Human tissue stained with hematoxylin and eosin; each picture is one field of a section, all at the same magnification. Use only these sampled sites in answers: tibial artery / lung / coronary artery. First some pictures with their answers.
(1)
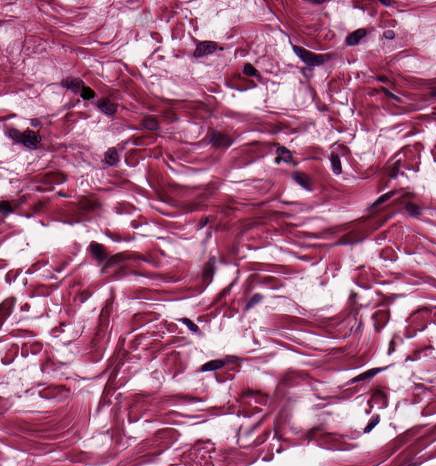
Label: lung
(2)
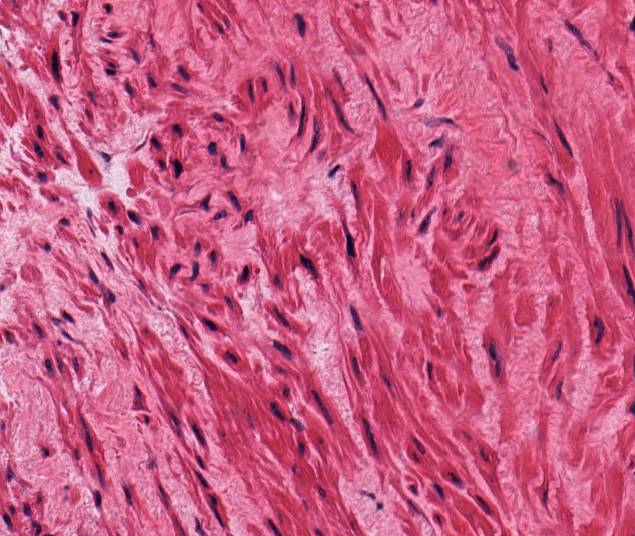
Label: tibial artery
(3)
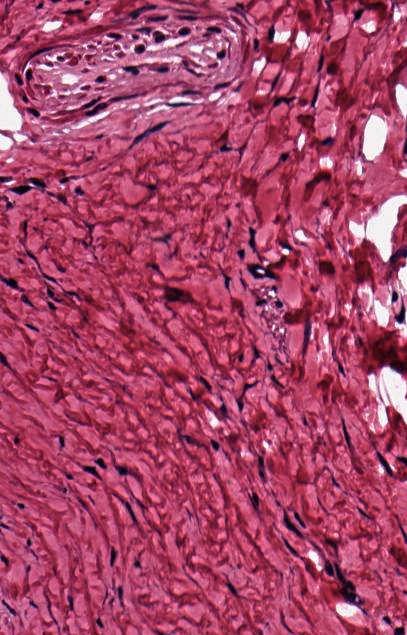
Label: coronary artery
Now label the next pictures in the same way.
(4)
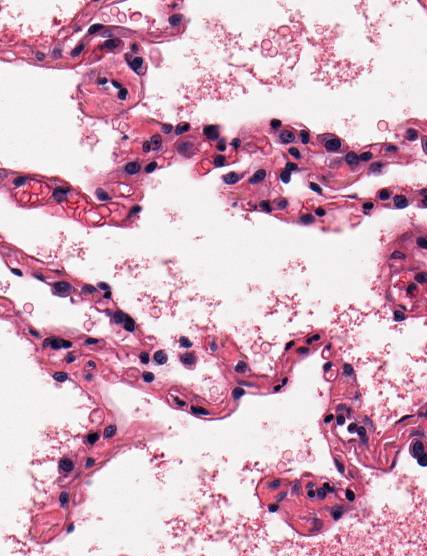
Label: lung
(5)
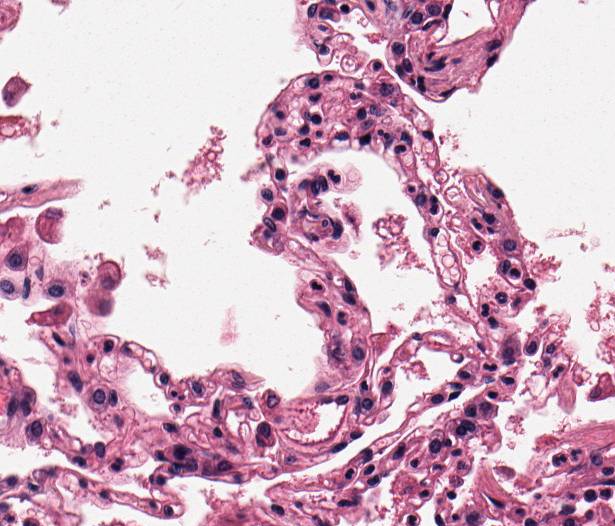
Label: lung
